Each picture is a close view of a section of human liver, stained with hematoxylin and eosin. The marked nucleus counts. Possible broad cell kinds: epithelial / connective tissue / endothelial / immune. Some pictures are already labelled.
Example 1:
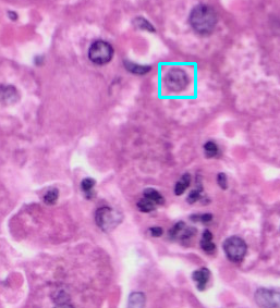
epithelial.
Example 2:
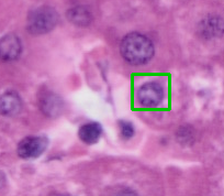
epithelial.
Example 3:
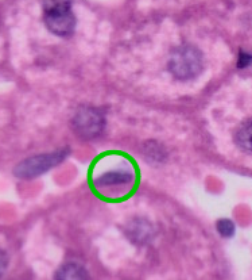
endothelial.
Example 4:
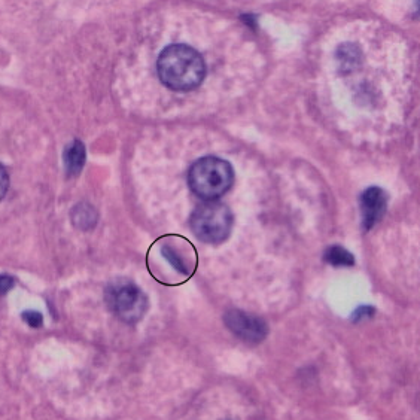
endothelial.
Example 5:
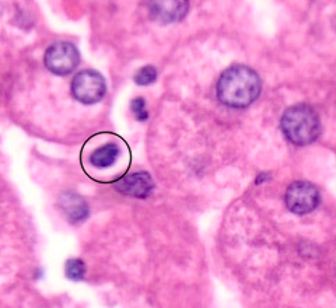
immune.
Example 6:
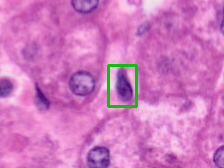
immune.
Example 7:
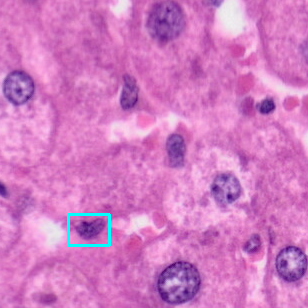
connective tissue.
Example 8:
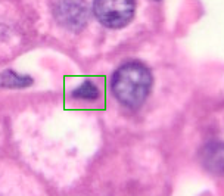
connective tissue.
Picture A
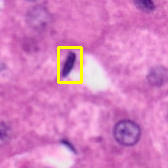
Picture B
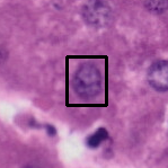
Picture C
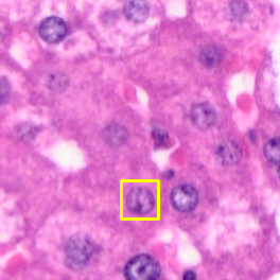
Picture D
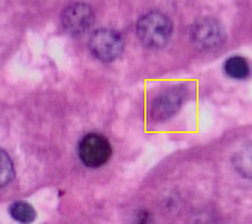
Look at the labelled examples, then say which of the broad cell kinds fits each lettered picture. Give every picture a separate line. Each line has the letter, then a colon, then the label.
A: endothelial.
B: epithelial.
C: epithelial.
D: immune.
